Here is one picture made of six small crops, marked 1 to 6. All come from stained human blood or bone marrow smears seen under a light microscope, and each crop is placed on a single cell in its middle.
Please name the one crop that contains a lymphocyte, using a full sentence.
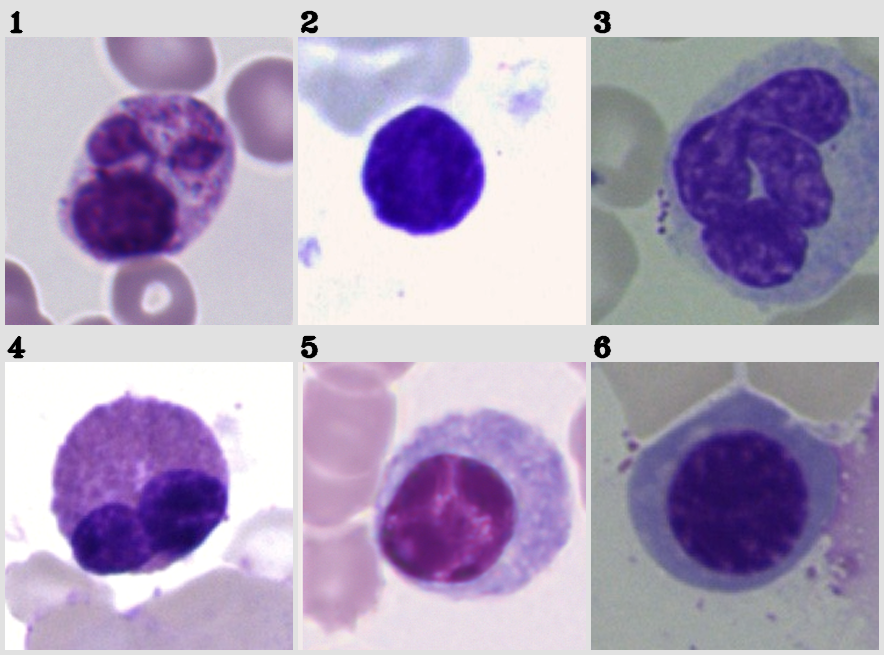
Crop 2 is where a lymphocyte is shown.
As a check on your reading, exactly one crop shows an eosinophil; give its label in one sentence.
Crop 4 is where an eosinophil is shown.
